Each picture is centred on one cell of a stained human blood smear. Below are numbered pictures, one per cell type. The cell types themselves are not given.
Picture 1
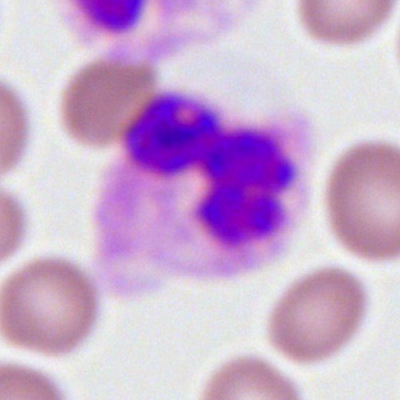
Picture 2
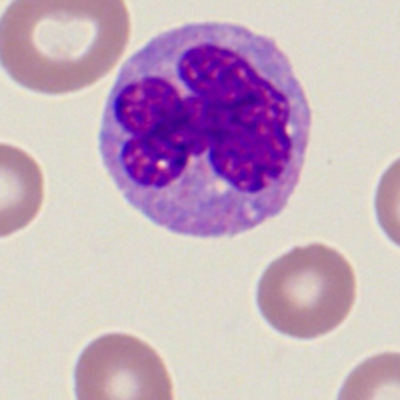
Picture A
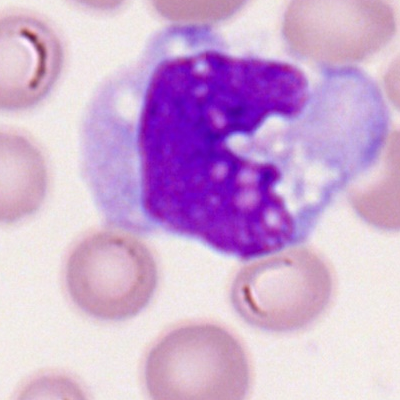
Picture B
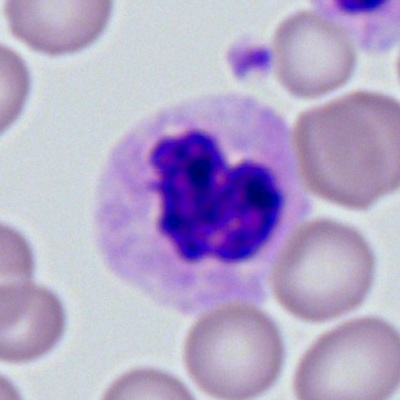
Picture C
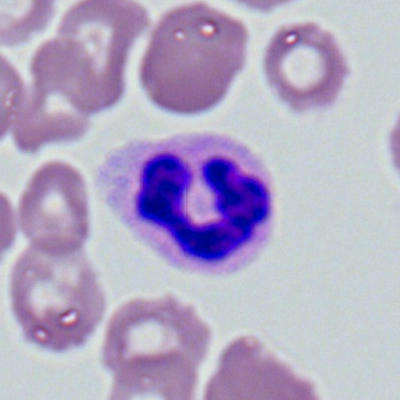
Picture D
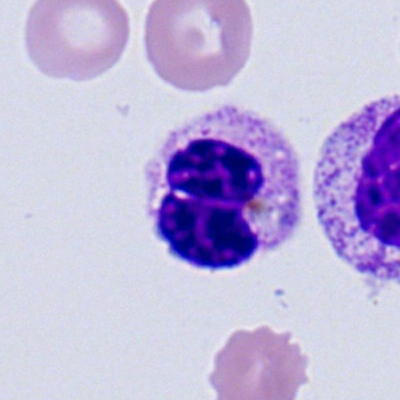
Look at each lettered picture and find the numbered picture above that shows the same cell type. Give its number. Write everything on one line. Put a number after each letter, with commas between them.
A 2, B 1, C 1, D 1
